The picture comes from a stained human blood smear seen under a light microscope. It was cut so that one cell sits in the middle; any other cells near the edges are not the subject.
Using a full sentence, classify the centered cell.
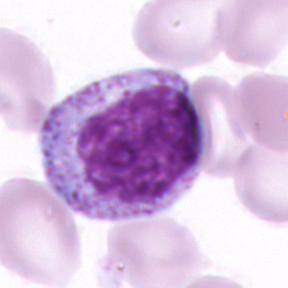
The crop shows a myelocyte in its centre.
